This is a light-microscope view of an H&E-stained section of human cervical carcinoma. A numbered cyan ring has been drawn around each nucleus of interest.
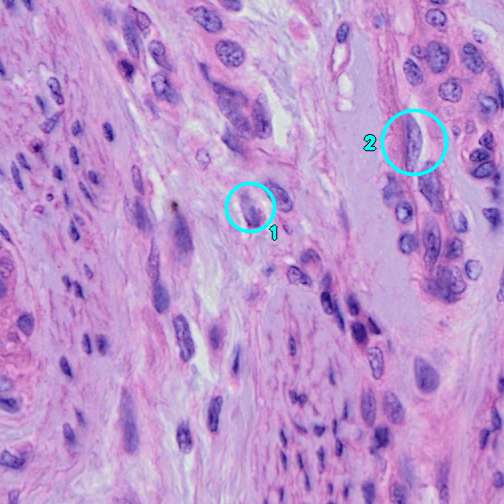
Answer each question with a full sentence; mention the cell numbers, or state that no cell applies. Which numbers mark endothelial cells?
As for the numbered cells, only cell 2 is an endothelial cell.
